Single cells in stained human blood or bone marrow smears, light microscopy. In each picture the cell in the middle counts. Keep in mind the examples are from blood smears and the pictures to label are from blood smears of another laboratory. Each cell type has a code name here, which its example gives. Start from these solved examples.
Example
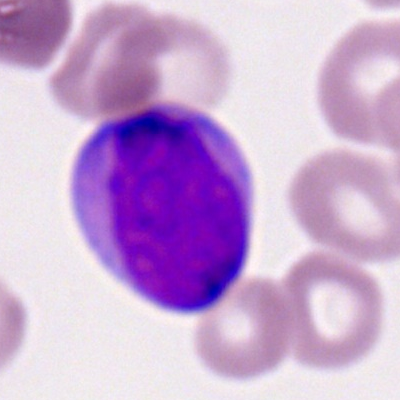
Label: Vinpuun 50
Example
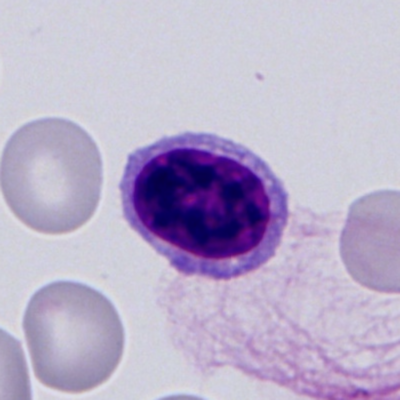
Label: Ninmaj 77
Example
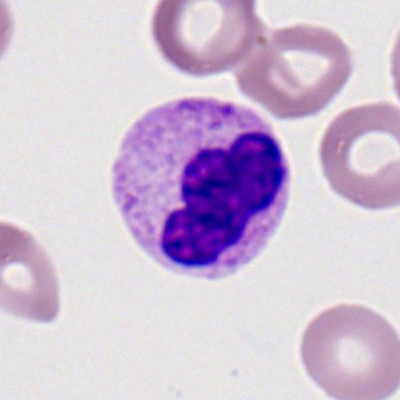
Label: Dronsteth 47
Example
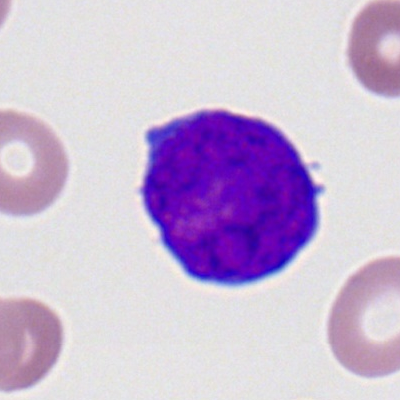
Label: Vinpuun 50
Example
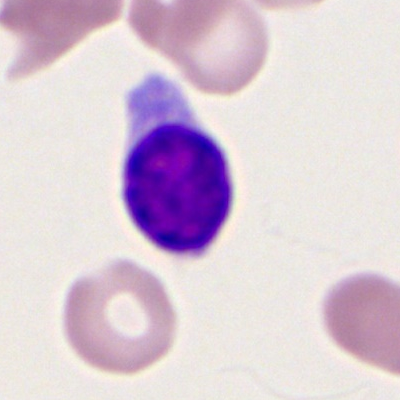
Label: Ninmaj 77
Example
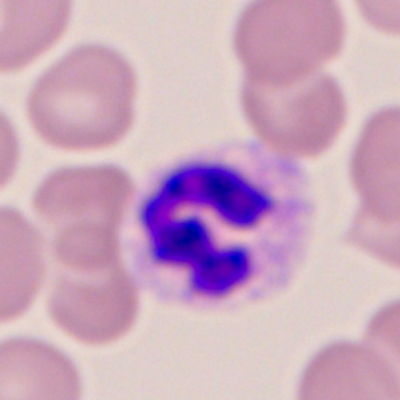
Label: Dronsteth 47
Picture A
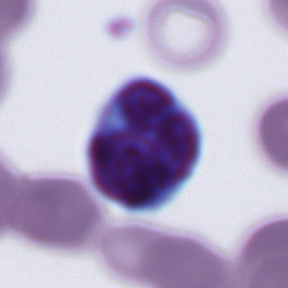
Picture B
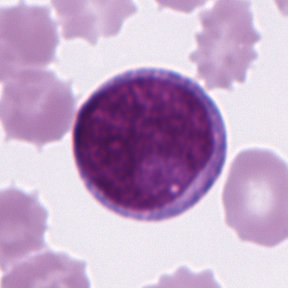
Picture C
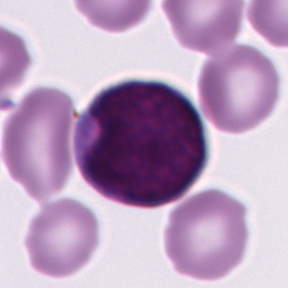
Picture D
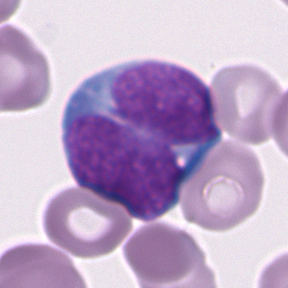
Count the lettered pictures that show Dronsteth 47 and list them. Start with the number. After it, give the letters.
0, none of them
